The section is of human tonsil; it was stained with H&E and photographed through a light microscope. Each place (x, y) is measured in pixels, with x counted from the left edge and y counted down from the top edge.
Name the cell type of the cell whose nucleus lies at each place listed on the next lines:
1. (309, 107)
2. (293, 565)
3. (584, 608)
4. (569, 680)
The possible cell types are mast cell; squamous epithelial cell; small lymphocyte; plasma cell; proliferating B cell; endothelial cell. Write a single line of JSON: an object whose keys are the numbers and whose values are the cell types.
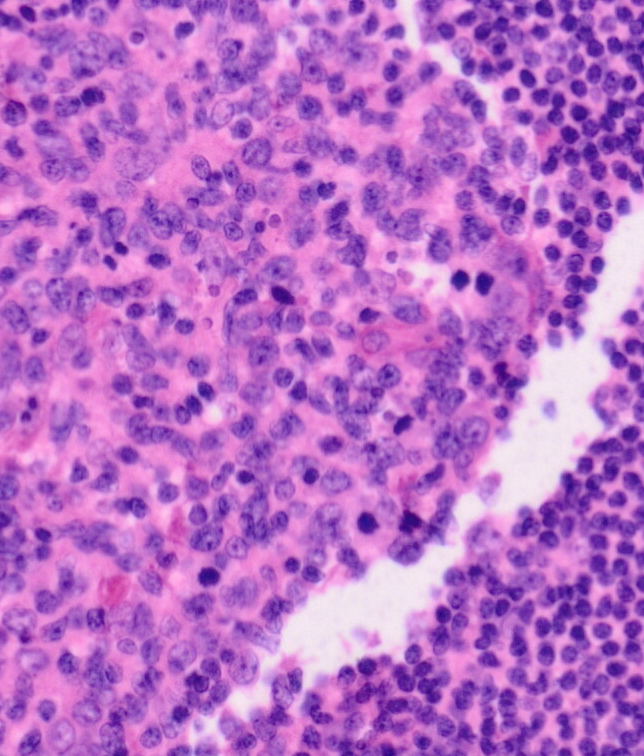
{"1": "proliferating B cell", "2": "proliferating B cell", "3": "small lymphocyte", "4": "small lymphocyte"}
